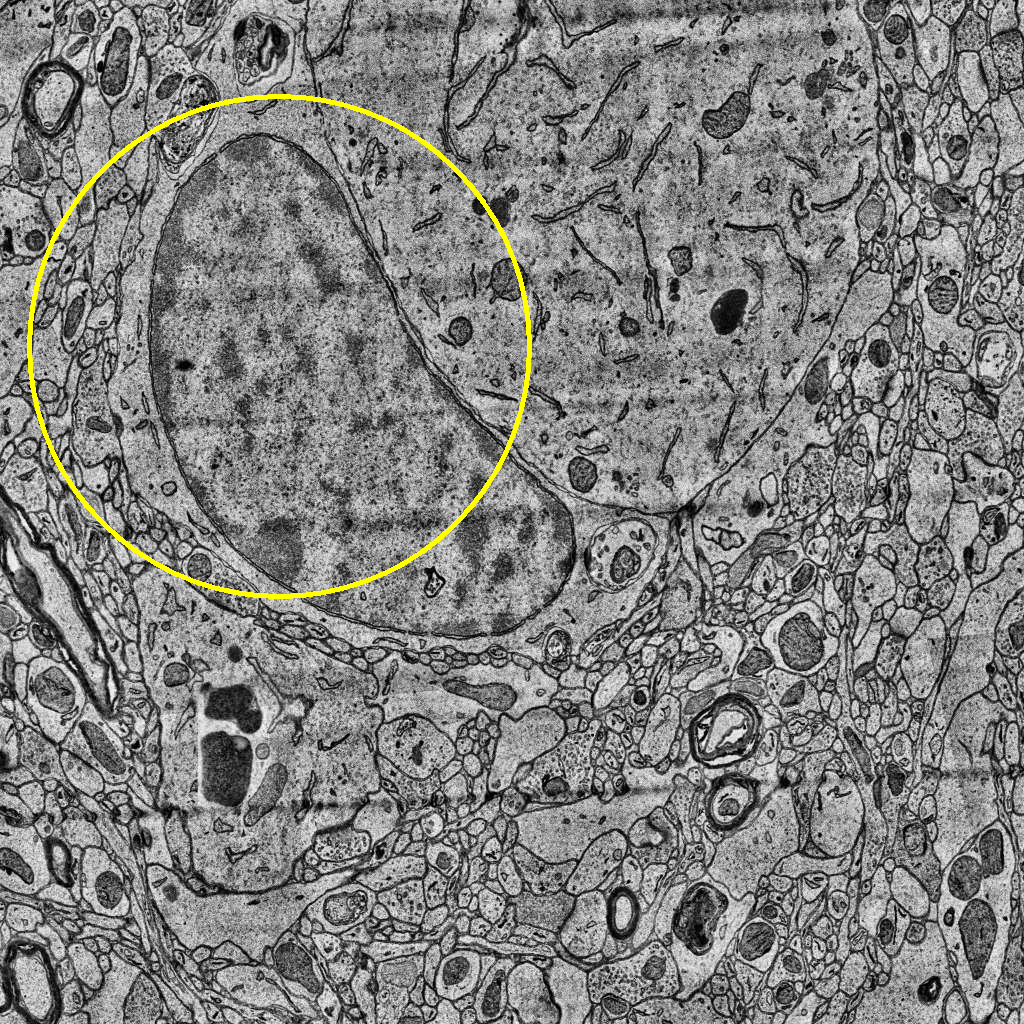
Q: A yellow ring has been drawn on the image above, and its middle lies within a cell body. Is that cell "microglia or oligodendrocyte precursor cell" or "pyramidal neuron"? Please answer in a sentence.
The ring's middle lies in the cell body of a microglial cell or oligodendrocyte precursor cell.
